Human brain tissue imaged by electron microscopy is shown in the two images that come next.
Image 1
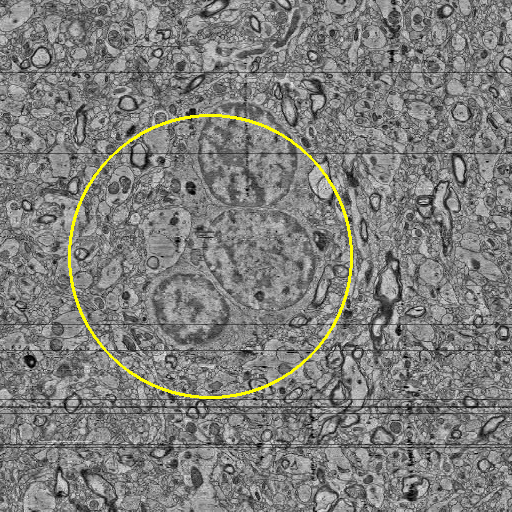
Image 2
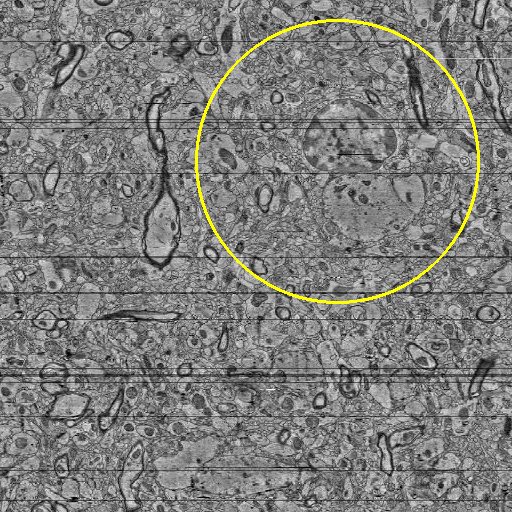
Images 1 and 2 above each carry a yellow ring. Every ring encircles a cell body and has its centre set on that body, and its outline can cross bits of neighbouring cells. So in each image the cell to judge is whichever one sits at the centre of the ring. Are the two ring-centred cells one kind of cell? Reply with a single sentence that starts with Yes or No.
No, in Image 1 and Image 2 the cells at the centres of their rings fall into two types.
